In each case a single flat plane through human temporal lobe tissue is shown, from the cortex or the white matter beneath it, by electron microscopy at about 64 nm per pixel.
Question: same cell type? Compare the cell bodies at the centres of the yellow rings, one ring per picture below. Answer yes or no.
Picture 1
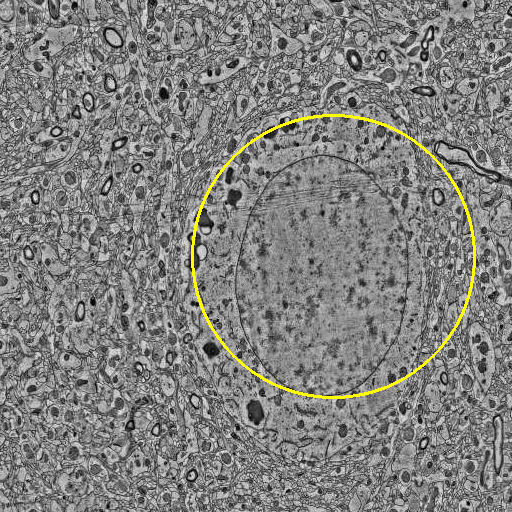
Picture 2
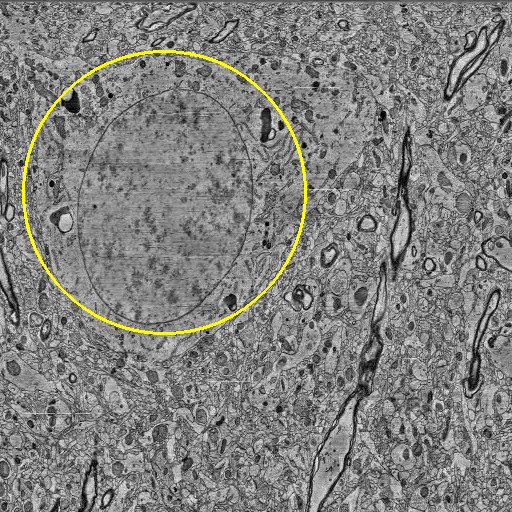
yes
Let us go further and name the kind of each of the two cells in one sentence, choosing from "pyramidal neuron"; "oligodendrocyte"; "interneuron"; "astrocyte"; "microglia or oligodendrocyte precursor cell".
Both rings mark a pyramidal neuron, one in each picture.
